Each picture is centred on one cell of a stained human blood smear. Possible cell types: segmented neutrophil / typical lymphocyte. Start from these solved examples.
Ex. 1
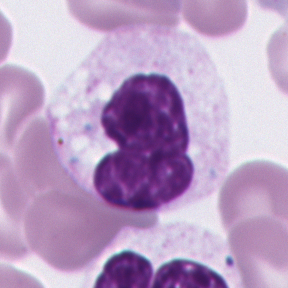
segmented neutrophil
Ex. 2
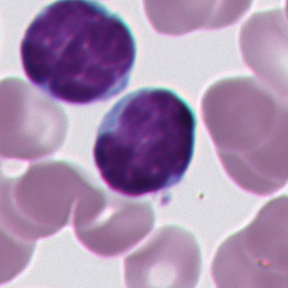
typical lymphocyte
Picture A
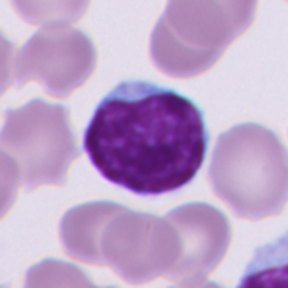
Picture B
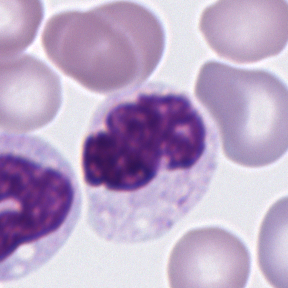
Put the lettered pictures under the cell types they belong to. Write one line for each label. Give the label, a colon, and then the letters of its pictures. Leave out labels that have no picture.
segmented neutrophil: B
typical lymphocyte: A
